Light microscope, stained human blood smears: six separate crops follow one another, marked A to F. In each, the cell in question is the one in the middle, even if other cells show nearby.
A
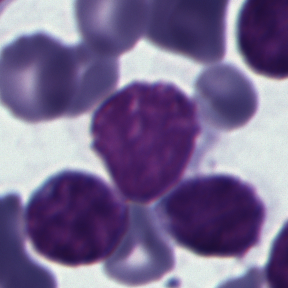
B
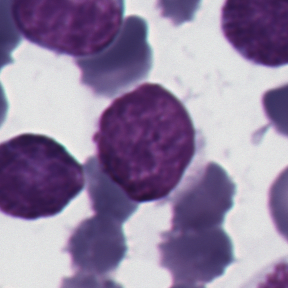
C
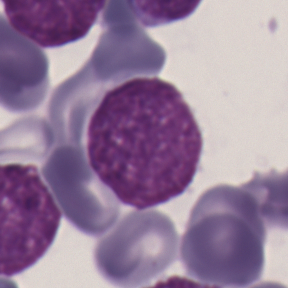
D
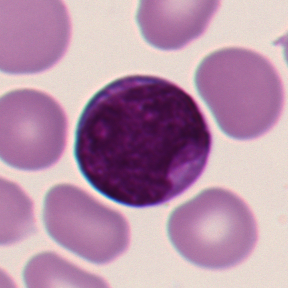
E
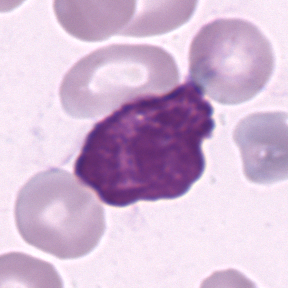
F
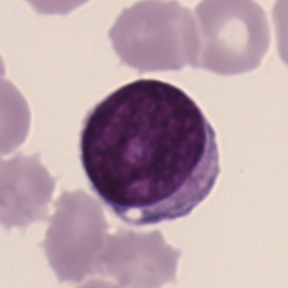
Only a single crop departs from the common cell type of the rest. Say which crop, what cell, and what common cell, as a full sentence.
Only one crop differs, namely crop E, which is a smudge cell; the others show myeloblasts.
